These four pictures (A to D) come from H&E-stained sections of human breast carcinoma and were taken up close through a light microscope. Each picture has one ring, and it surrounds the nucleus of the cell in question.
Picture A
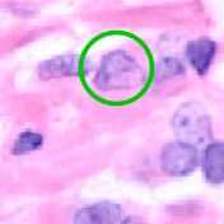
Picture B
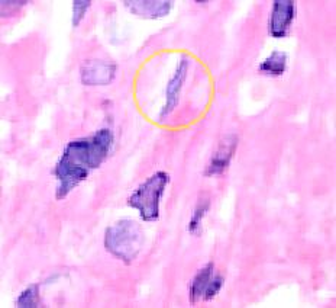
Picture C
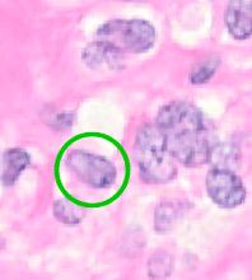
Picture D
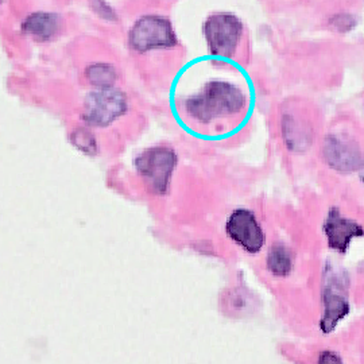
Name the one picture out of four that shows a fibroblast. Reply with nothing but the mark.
B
